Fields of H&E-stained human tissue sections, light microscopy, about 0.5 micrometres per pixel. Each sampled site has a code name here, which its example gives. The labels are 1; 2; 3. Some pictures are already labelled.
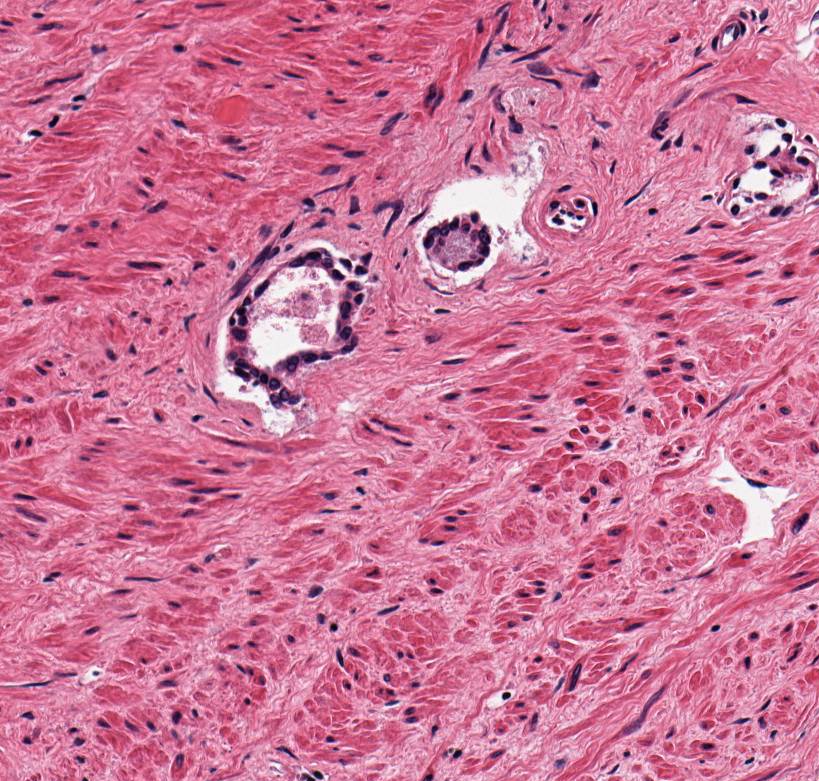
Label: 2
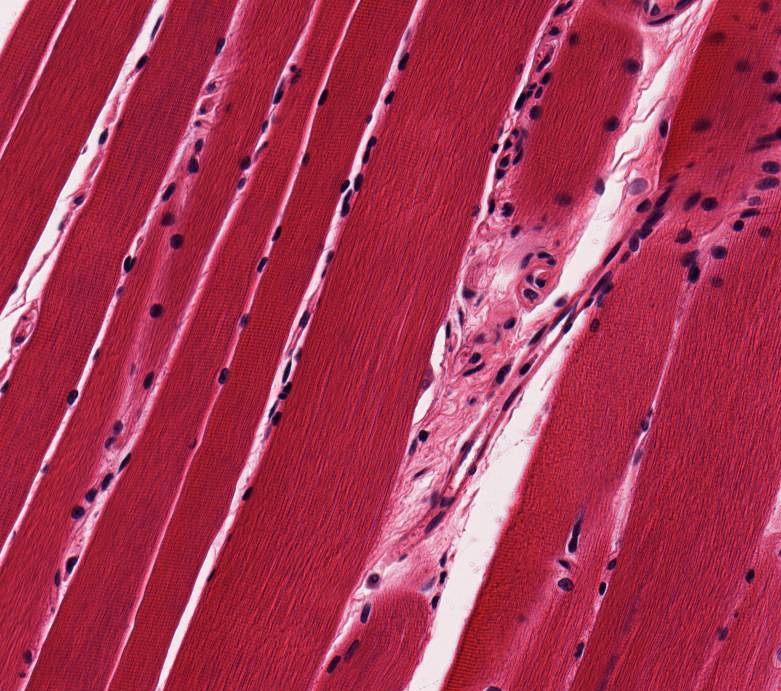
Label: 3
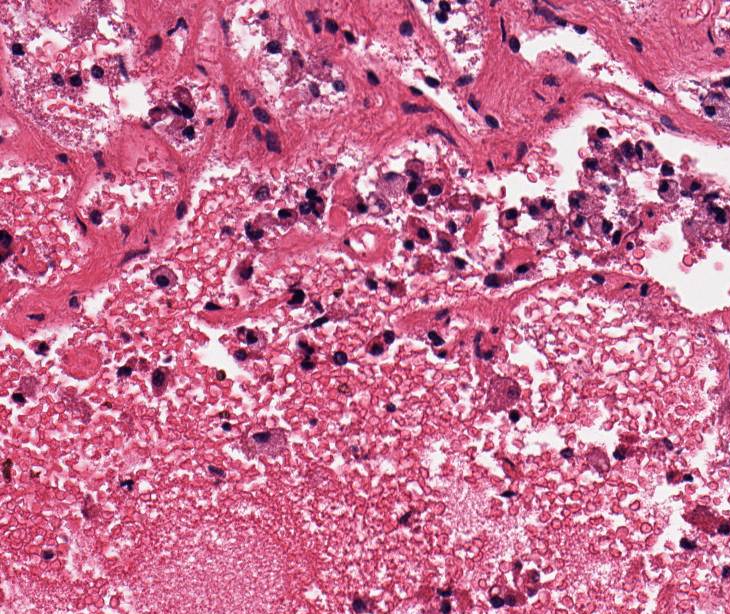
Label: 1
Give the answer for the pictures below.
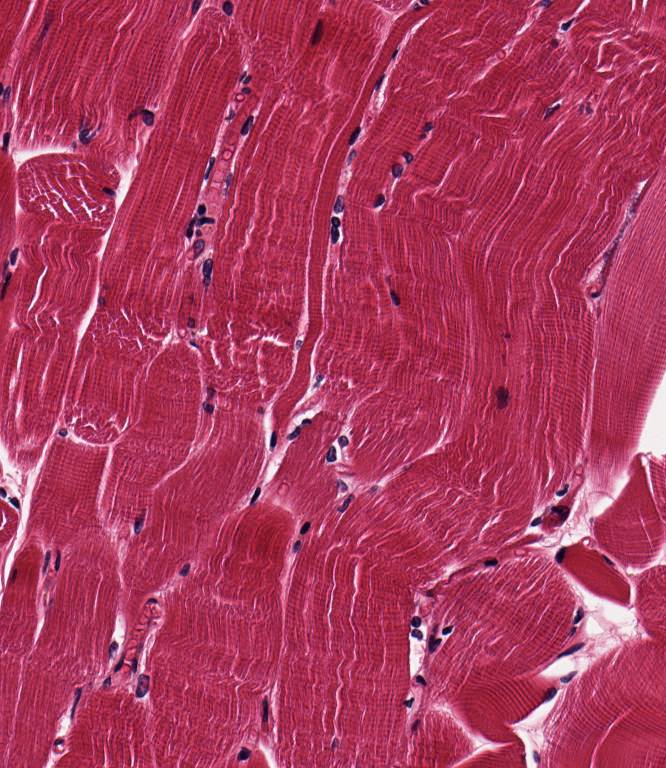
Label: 3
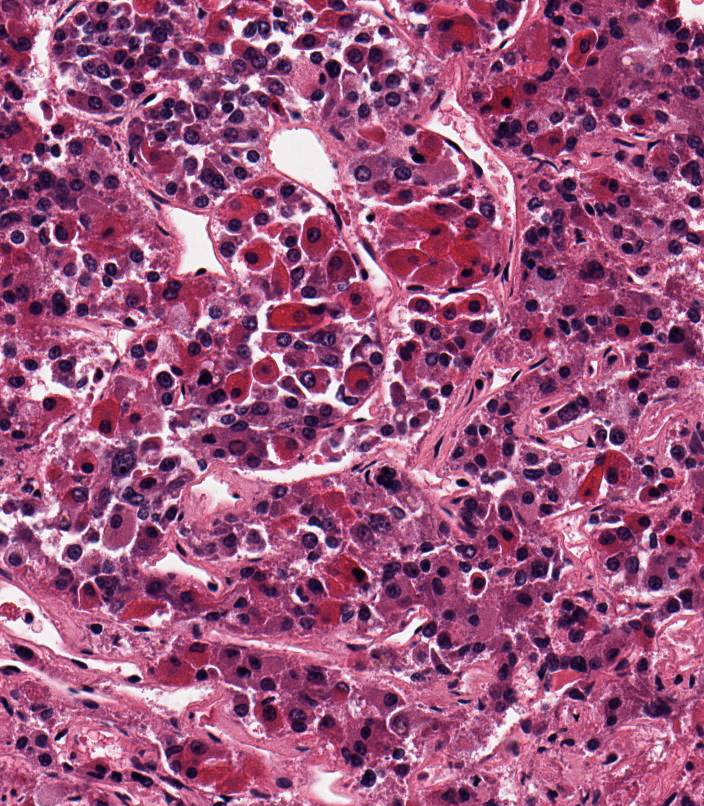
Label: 1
